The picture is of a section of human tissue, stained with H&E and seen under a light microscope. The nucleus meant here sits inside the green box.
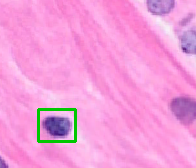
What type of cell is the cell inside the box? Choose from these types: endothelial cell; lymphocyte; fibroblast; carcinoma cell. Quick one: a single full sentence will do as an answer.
As a matter of cell type, the cell inside the box is a lymphocyte.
